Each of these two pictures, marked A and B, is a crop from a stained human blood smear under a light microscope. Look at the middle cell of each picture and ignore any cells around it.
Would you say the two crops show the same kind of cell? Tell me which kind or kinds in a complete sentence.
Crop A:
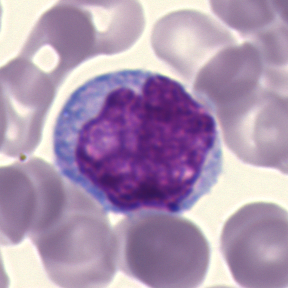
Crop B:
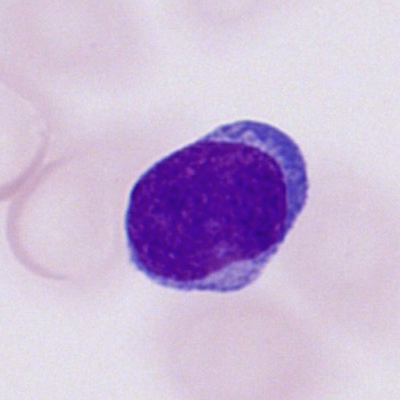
No, crop A is home to a monocyte, and crop B to a blast.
